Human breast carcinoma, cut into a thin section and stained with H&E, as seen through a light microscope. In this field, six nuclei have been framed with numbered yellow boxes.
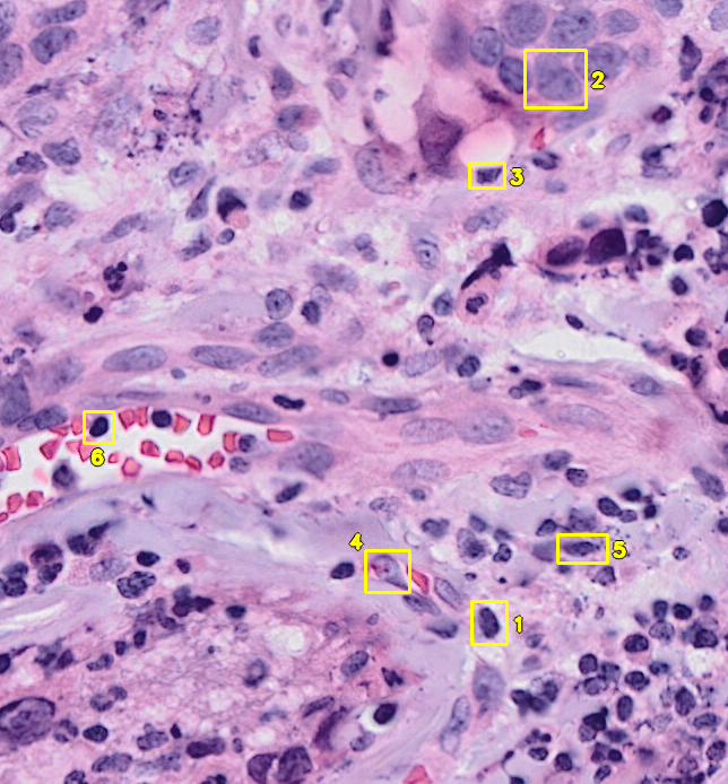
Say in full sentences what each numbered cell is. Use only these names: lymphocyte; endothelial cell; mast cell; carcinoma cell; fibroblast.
Cell 1 is a lymphocyte, cell 2 is a carcinoma cell, cell 3 is a lymphocyte, cell 4 is an endothelial cell, cell 5 is a lymphocyte and cell 6 is a lymphocyte.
